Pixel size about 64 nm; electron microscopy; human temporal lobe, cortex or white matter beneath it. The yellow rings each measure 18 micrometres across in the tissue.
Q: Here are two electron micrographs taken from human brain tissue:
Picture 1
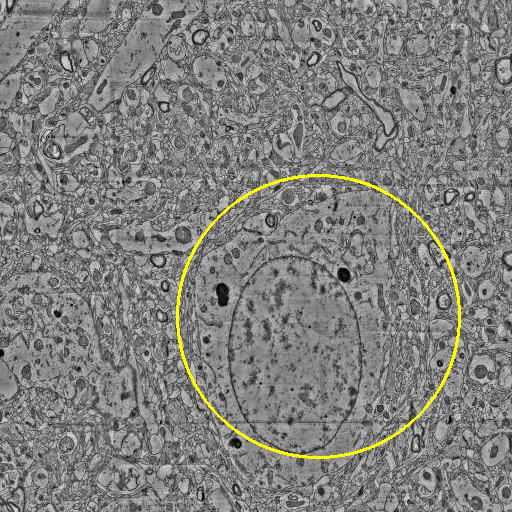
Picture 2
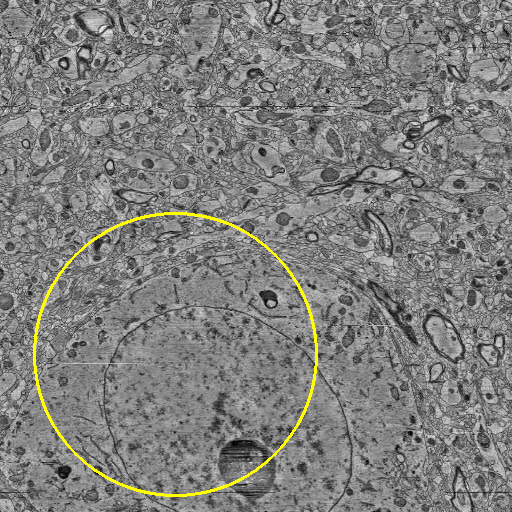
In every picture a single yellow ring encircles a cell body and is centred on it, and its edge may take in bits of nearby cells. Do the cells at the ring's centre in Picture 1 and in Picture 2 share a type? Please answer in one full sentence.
Yes, the cells at the ring's centre in Picture 1 and Picture 2 share a type.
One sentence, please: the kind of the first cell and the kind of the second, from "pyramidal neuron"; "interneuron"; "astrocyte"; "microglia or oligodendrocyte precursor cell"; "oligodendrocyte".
In both pictures the ring is centred on a pyramidal neuron.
